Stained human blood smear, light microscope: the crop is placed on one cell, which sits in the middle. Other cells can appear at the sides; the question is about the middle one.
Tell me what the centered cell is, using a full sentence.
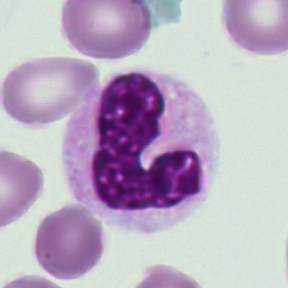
At the center of the crop sits a band neutrophil.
